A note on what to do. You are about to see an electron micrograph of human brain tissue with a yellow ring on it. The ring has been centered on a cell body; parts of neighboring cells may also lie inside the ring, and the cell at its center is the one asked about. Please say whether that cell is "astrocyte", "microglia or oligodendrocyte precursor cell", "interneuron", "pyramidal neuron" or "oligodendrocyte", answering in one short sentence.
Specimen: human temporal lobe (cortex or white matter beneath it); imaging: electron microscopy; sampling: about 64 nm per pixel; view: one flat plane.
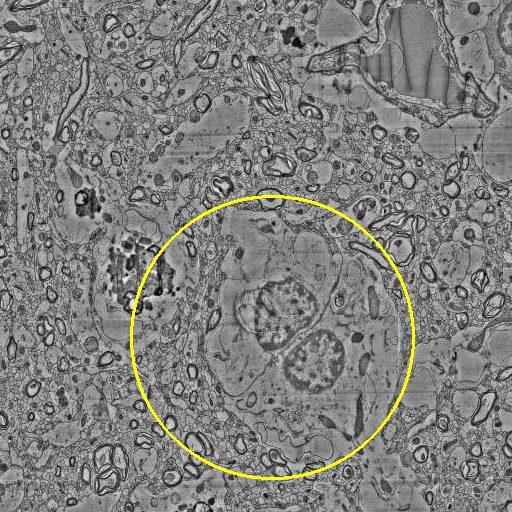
The yellow ring sits on an astrocyte.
